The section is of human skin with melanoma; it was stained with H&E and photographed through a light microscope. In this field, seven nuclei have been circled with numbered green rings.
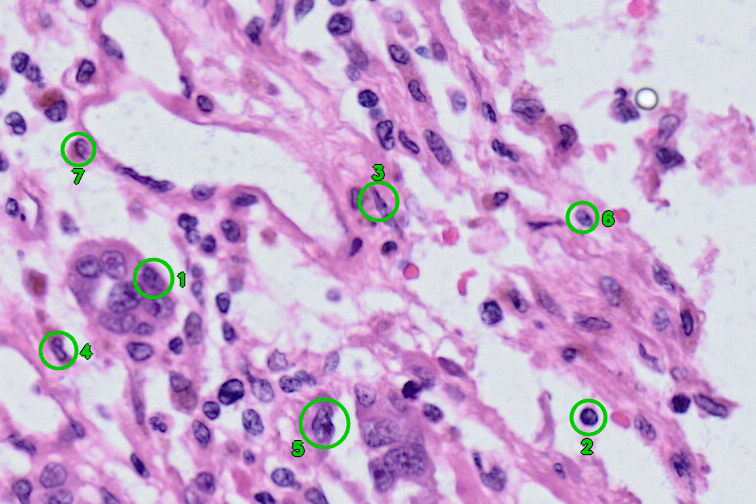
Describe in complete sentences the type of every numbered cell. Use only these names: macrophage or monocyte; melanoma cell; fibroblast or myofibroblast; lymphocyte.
Cells 1 and 5 are melanoma cells. Cells 2 and 6 are lymphocytes. Cell 3 is a fibroblast or myofibroblast. Cells 4 and 7 are macrophages or monocytes.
